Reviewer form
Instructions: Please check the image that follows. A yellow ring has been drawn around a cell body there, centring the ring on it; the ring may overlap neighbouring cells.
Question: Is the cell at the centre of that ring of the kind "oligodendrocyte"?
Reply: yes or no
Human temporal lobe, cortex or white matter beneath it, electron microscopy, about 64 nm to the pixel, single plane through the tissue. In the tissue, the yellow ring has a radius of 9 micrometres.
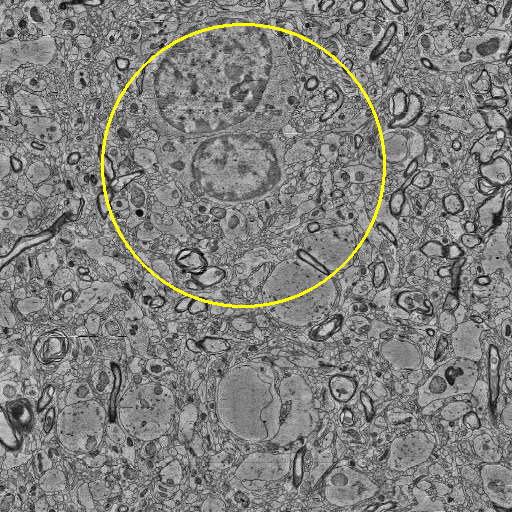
yes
